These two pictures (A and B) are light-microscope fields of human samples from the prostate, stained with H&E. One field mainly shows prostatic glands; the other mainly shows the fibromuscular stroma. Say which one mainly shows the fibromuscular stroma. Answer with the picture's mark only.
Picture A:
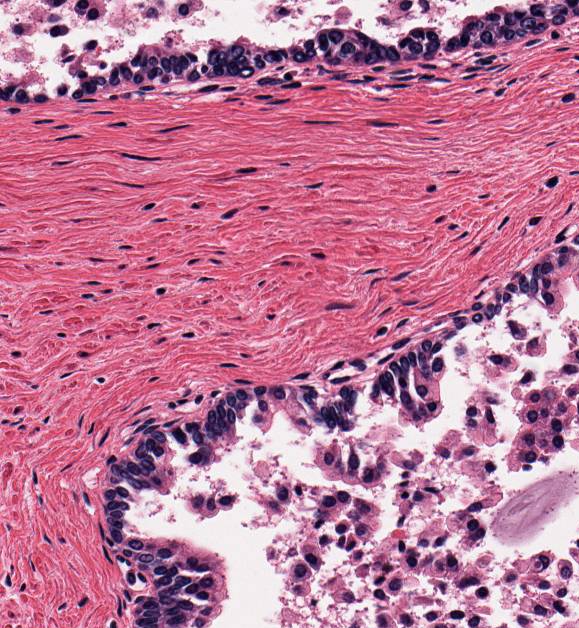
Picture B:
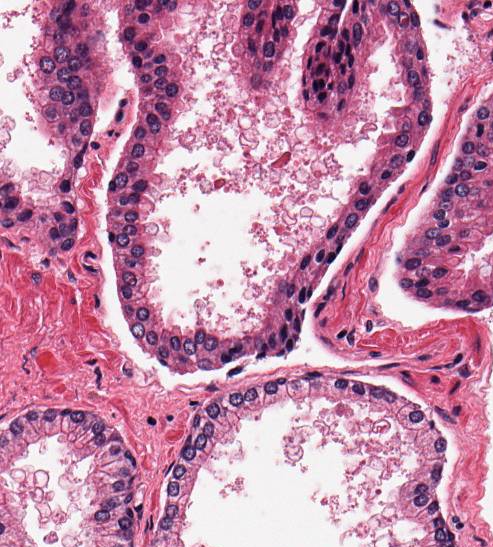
A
